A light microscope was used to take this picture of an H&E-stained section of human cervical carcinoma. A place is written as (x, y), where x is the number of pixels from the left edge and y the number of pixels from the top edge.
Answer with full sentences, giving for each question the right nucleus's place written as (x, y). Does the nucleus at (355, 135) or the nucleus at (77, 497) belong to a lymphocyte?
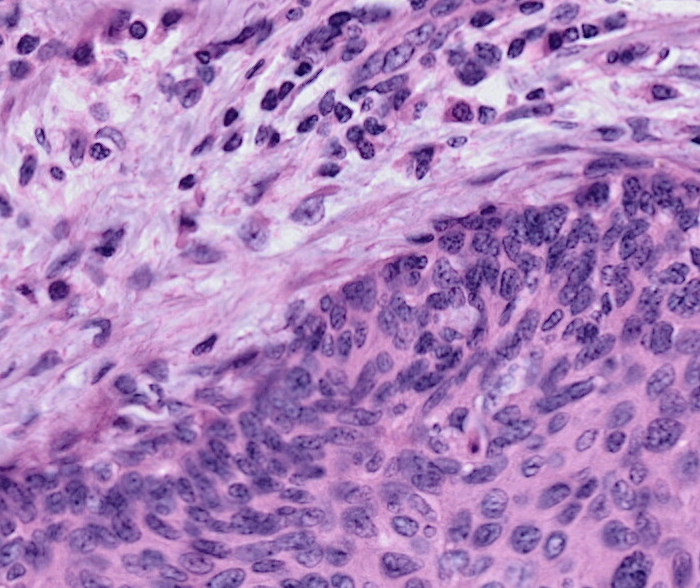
The nucleus at position (355, 135) belongs to a lymphocyte.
